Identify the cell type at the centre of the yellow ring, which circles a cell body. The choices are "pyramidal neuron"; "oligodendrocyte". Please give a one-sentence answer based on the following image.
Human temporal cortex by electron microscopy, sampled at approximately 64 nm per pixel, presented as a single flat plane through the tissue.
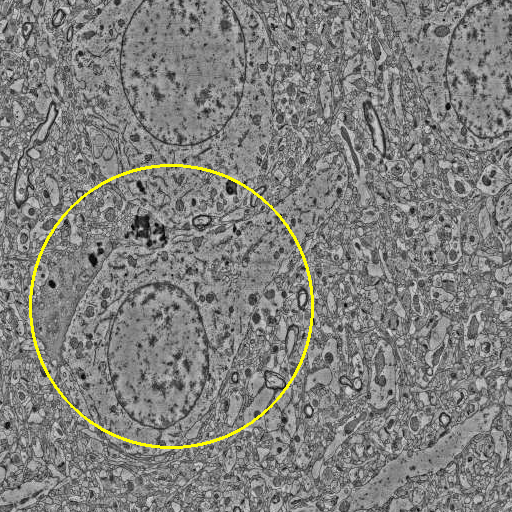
The cell marked by the ring is a pyramidal neuron.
